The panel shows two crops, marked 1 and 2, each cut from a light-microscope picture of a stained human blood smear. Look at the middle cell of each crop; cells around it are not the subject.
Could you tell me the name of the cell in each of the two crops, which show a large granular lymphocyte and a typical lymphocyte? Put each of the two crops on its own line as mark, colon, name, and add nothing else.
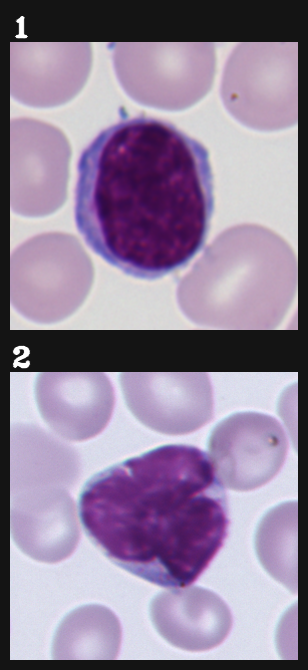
1: typical lymphocyte
2: large granular lymphocyte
